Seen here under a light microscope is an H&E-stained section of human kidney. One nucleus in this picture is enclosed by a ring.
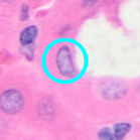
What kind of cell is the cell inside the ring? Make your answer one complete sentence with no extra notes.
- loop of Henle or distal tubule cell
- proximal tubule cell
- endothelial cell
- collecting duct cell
Cell type answer for this item: the cell inside the ring is a loop of Henle or distal tubule cell.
